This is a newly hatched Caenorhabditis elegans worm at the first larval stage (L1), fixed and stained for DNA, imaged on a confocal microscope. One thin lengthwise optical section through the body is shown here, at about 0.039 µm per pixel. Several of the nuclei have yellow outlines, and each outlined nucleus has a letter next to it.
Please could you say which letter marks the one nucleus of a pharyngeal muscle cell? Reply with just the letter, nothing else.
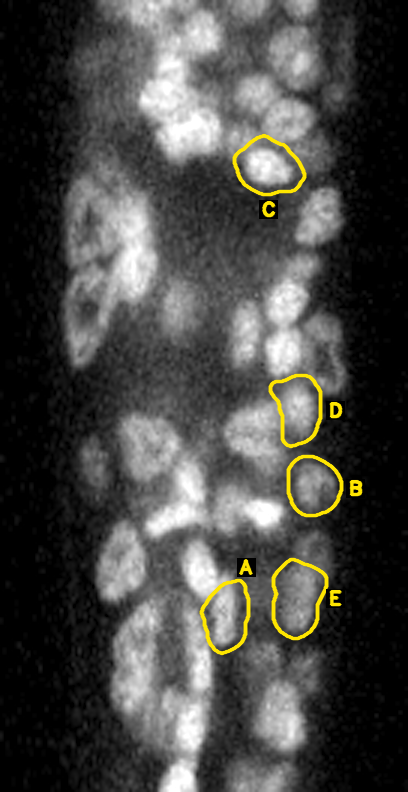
A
